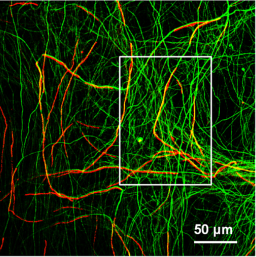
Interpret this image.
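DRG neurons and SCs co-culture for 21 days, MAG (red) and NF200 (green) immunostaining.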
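The green fibres are thin, long and cross one another in many directions, crowding more densely in some areas. Only a minority of fibres carry such segments, and the segments have clear ends along the fibre.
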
